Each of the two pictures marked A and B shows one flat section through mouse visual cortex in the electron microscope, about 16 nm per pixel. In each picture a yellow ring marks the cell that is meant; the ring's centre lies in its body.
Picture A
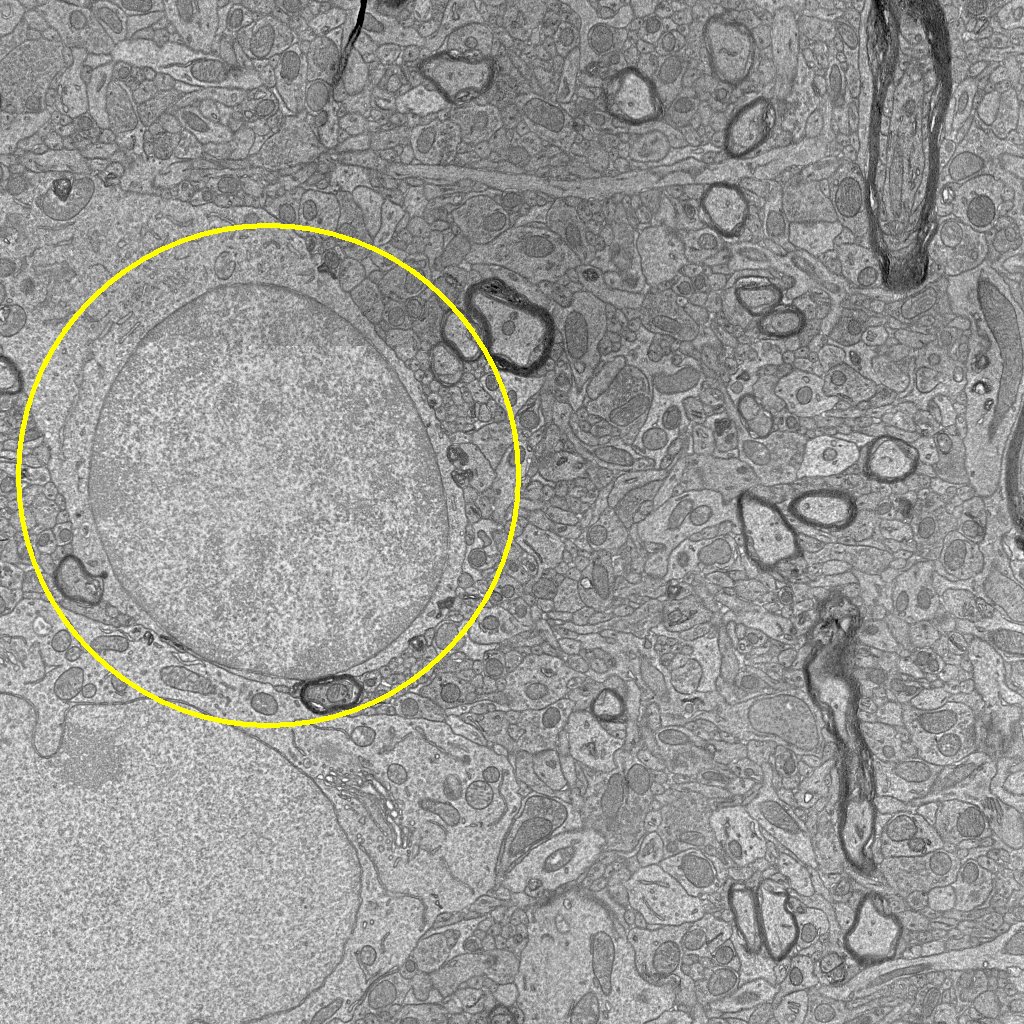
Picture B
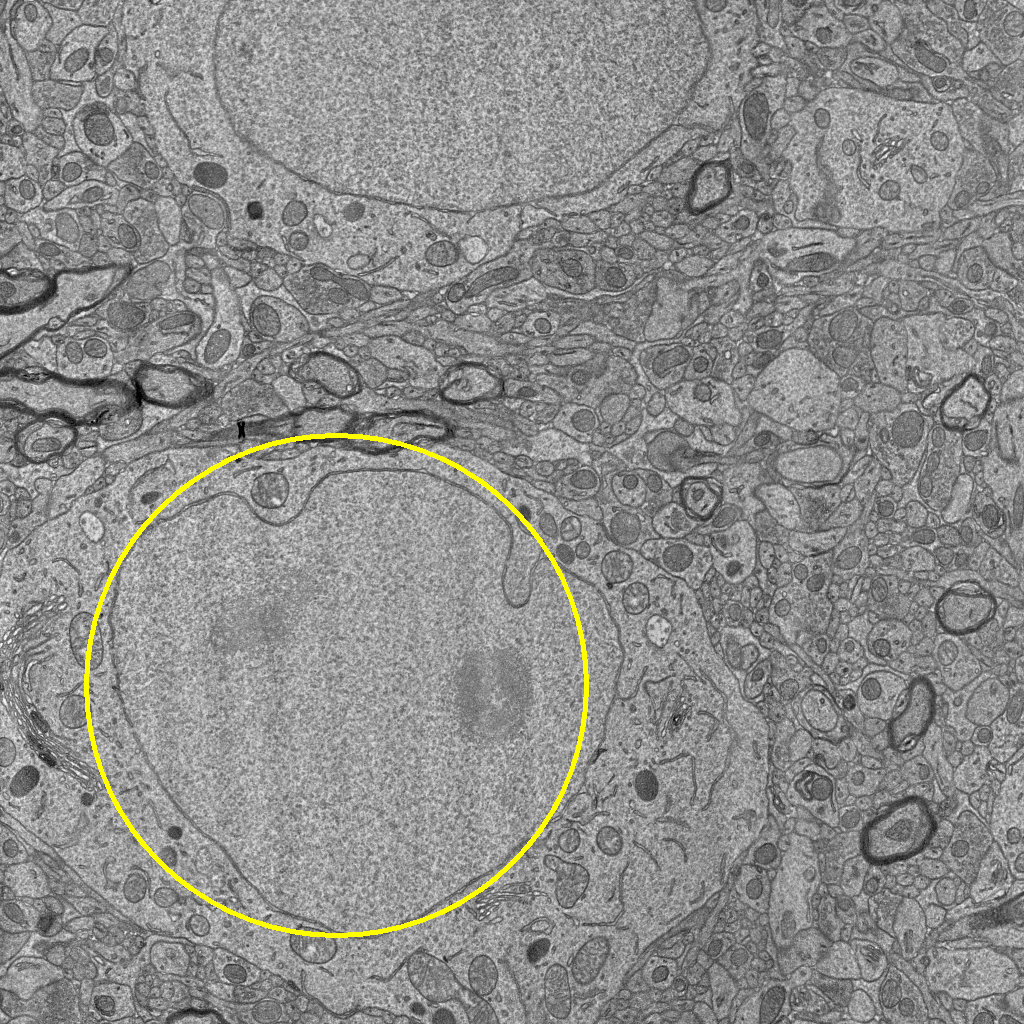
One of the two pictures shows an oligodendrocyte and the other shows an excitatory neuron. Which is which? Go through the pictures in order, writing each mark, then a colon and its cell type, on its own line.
A: oligodendrocyte
B: excitatory neuron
